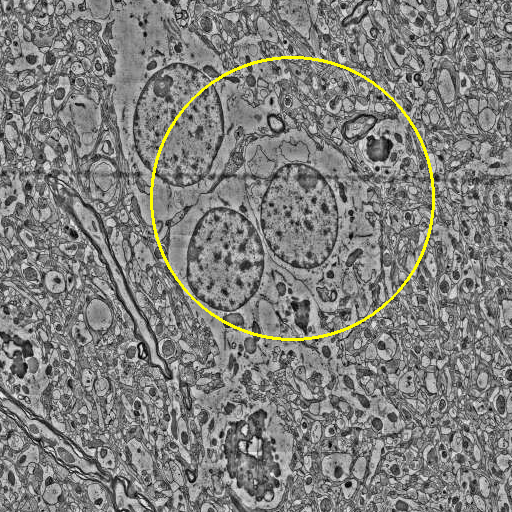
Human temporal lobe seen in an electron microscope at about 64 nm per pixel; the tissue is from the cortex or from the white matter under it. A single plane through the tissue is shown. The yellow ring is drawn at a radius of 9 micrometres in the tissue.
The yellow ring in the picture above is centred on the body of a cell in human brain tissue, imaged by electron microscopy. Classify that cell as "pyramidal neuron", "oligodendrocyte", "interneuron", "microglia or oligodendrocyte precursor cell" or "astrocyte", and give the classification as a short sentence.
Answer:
The cell in the middle of the ring is an astrocyte.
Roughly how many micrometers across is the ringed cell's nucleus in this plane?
About 6 micrometres by about 5 micrometres in this plane.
